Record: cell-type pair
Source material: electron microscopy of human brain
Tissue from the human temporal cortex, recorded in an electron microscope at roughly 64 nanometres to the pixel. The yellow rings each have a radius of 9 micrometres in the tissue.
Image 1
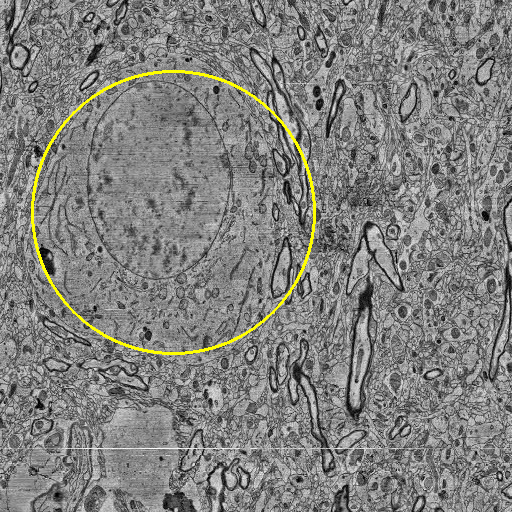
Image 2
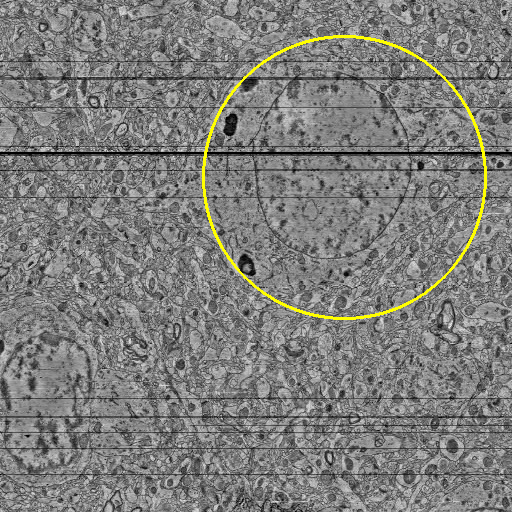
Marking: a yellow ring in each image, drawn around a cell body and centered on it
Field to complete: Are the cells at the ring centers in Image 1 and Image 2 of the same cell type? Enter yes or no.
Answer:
yes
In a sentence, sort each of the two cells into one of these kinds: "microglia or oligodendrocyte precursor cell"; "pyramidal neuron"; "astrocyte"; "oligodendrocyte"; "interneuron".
Both the first and the second picture show a pyramidal neuron in the ring.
